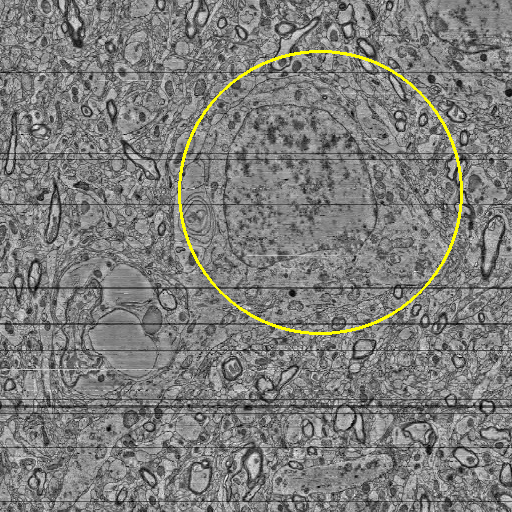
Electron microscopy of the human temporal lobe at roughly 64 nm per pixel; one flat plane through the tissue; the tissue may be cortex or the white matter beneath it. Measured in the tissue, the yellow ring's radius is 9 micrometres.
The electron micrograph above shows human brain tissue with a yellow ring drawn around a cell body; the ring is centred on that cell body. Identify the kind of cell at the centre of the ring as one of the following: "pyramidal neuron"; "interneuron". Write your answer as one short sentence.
The cell at the centre of the ring is a pyramidal neuron.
